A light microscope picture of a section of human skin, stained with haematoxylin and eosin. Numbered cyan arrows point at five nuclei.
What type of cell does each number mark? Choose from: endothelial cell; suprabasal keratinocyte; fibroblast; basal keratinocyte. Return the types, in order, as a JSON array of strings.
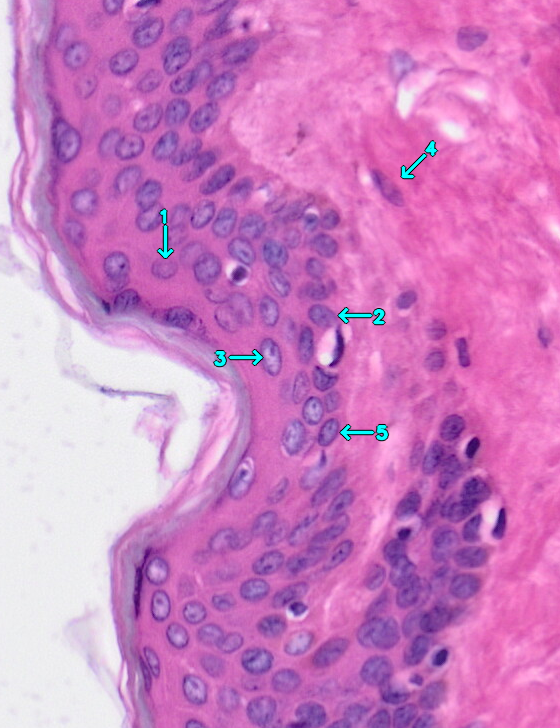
["suprabasal keratinocyte", "basal keratinocyte", "suprabasal keratinocyte", "fibroblast", "basal keratinocyte"]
